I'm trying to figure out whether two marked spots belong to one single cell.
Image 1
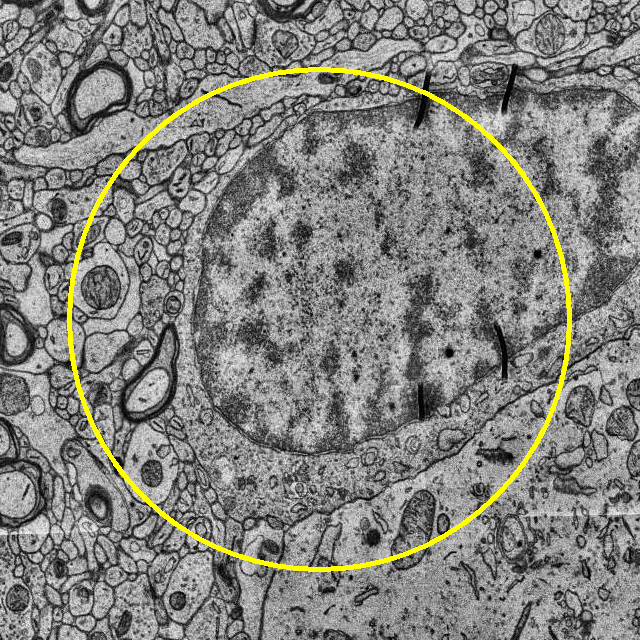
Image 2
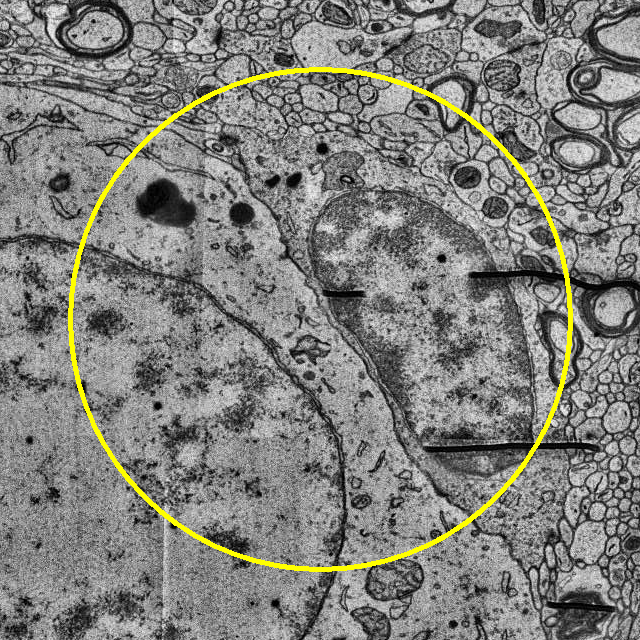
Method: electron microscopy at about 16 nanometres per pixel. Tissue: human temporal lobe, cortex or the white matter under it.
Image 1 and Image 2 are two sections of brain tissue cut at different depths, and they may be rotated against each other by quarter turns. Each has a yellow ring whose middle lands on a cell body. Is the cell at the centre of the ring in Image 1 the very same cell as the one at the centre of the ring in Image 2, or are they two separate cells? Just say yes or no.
yes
